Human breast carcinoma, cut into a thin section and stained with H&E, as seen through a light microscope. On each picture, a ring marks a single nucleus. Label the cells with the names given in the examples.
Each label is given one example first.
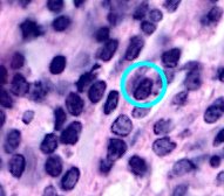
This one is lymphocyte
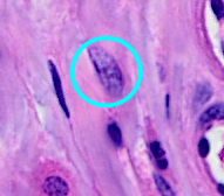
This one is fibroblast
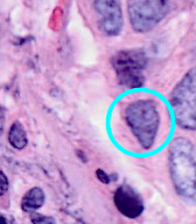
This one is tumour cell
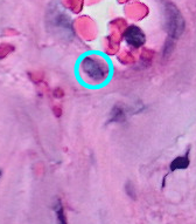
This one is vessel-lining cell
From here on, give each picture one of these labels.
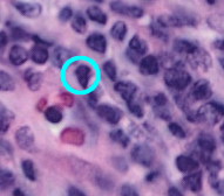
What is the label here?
lymphocyte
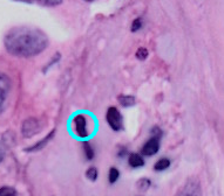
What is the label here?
lymphocyte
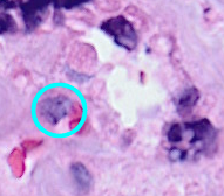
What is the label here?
vessel-lining cell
